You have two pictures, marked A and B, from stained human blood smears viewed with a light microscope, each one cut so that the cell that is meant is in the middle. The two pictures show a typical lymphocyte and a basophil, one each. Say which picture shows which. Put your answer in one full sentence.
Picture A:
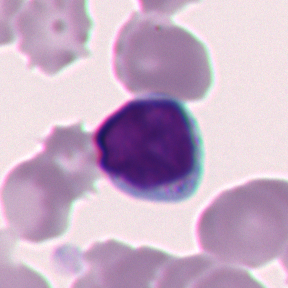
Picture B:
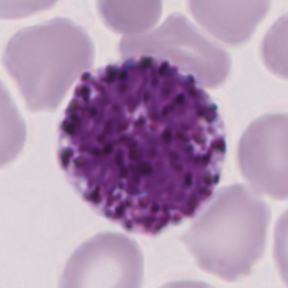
The cell in picture A is a typical lymphocyte, and the one in picture B is a basophil.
